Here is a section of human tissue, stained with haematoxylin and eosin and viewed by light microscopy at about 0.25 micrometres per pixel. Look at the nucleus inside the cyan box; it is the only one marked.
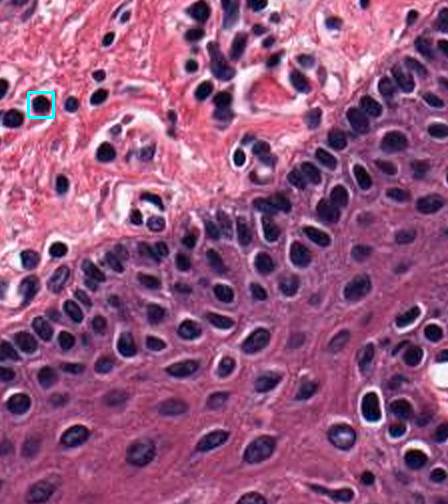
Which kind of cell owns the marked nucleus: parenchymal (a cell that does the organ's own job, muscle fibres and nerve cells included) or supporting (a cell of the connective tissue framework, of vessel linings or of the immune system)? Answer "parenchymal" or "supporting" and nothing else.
supporting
